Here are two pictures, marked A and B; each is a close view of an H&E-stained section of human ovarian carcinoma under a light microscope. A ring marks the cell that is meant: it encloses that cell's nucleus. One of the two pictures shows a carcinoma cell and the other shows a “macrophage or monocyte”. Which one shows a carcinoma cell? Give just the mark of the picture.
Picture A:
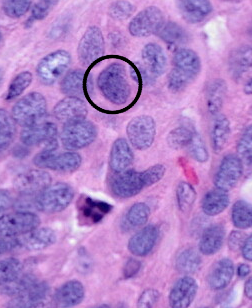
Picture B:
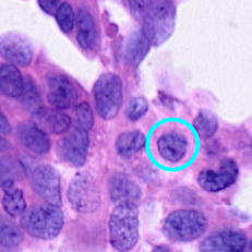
A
